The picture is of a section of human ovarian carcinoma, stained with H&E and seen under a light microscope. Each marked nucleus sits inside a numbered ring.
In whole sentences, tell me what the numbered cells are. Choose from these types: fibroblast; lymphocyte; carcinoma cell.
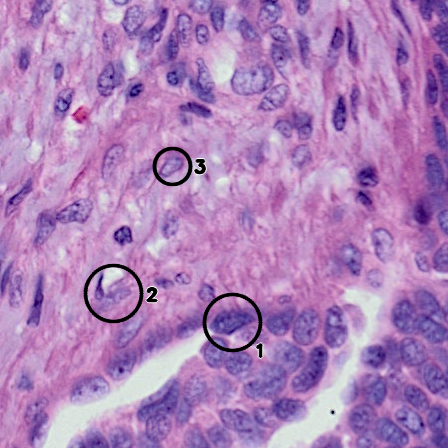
Cell 1 is a carcinoma cell. Cells 2 and 3 are fibroblasts.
